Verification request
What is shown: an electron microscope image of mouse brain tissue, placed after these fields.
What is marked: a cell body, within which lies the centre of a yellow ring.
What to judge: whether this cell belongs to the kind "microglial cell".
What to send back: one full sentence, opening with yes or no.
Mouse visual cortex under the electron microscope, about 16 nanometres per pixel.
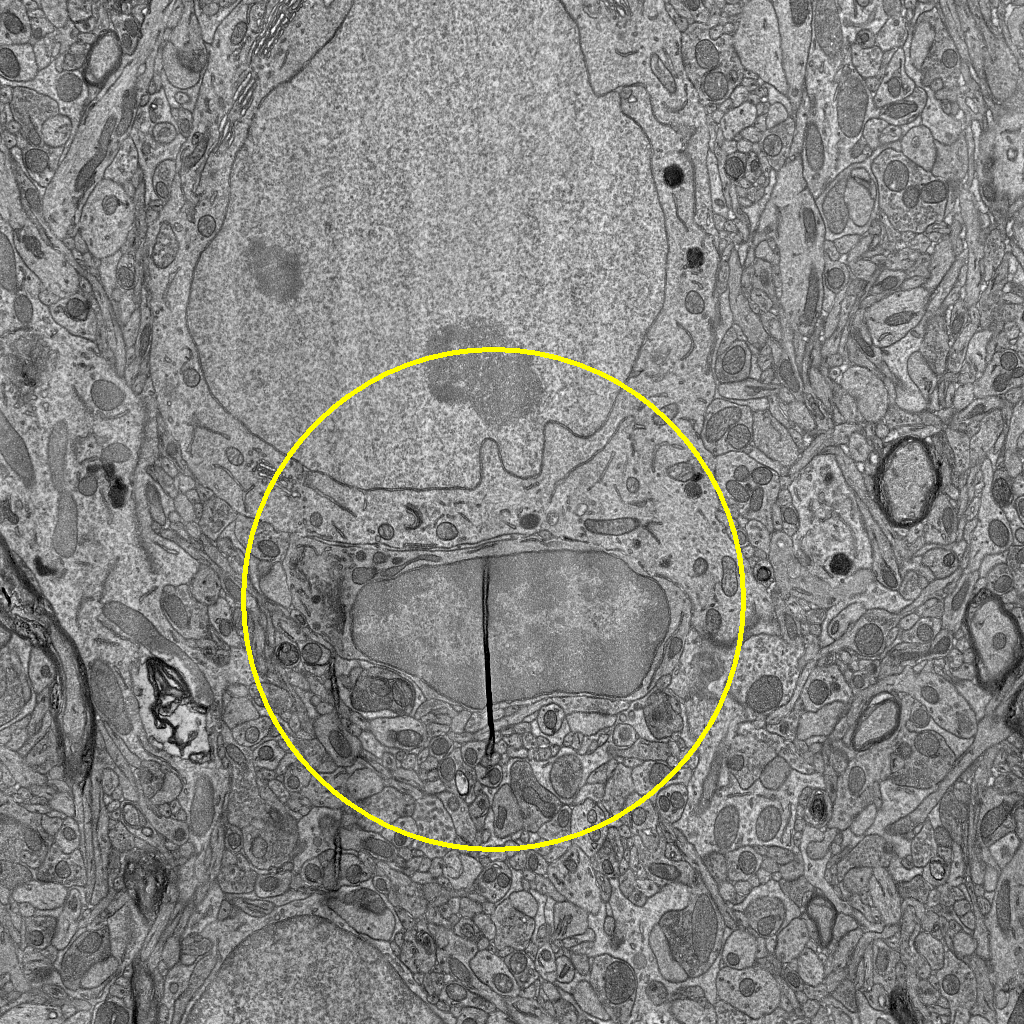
Yes, the cell whose body holds the centre of the yellow ring in the picture is of that kind.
